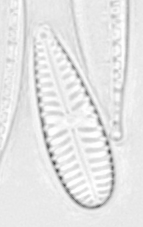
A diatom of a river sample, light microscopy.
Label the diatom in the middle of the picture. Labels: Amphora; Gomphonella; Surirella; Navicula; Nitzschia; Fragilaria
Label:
Gomphonella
